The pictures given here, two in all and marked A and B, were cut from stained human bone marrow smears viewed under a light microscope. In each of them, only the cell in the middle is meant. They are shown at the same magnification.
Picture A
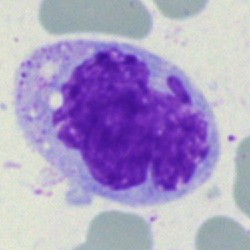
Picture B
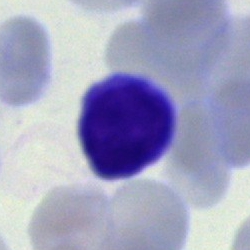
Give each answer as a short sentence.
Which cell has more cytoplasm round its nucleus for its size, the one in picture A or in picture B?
In picture A the nucleus takes up the smaller part of its cell.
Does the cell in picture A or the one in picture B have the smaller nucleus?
The nucleus in picture B is smaller; the one in picture A has about 2.5 times its area.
